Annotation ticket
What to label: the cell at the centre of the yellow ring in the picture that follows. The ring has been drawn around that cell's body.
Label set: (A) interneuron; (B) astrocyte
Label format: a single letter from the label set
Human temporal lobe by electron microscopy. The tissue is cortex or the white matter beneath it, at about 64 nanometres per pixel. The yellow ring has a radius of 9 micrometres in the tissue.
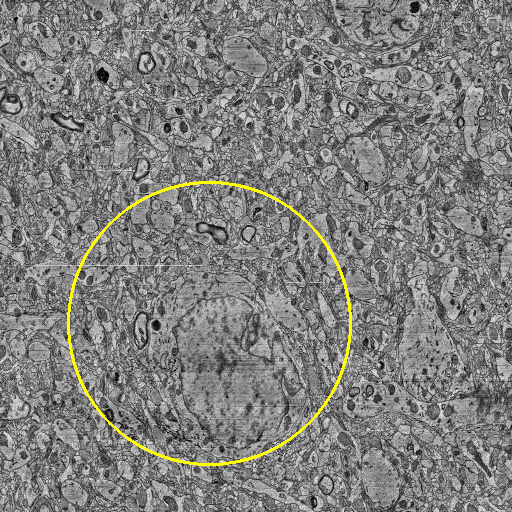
A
